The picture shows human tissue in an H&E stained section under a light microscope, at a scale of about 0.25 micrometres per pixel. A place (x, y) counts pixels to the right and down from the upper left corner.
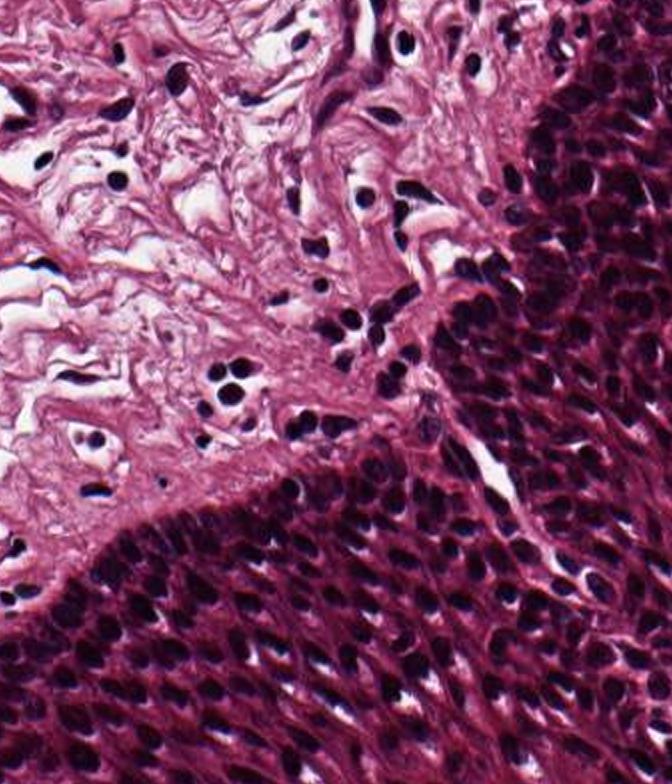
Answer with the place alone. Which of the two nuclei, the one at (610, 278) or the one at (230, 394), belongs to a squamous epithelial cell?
(610, 278)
